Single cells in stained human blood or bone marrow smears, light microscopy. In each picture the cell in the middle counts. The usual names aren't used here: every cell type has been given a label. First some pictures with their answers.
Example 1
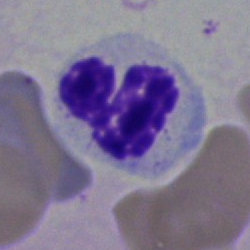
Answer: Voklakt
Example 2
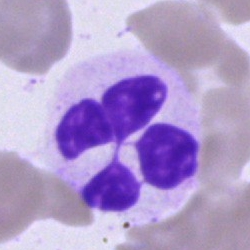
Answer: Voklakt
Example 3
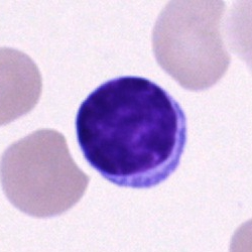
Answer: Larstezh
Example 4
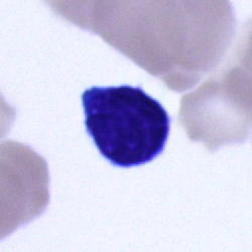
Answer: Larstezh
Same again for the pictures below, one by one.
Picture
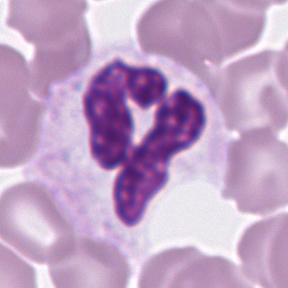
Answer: Voklakt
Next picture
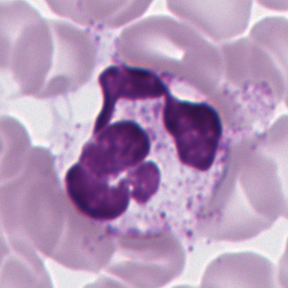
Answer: Voklakt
